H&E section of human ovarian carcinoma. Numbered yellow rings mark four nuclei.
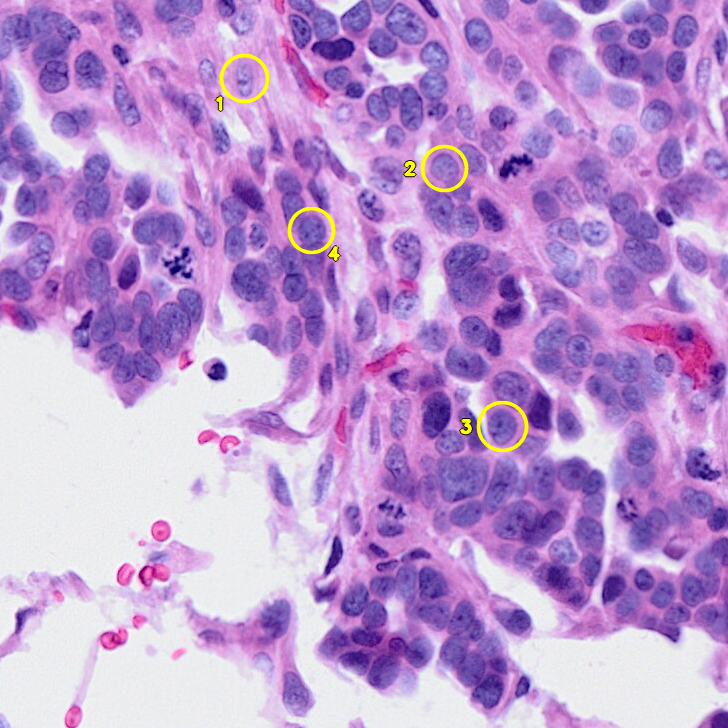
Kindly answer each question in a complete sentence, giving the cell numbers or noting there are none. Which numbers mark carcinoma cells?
Within this tissue, the cells numbered 2, 3 and 4 are carcinoma cells.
